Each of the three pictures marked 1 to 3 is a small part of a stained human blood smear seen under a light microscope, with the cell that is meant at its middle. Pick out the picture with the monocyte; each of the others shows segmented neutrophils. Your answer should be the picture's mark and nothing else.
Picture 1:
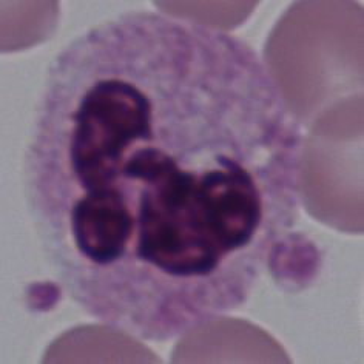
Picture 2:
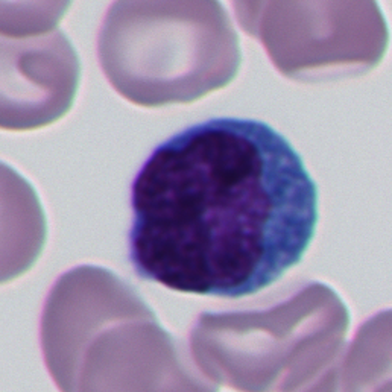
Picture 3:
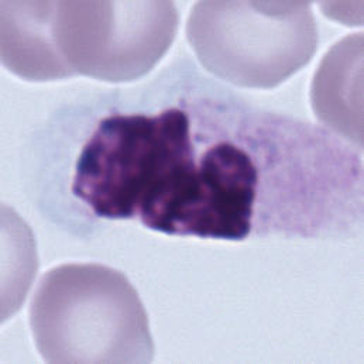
2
